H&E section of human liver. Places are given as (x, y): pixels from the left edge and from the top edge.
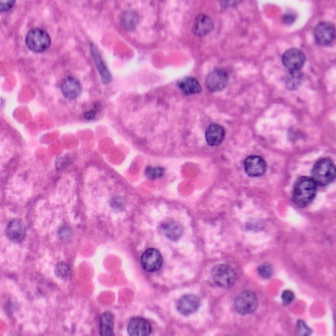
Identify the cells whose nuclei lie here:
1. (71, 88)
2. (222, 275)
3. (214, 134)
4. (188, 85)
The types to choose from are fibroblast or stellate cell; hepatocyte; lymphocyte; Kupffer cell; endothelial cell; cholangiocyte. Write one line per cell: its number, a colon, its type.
1: hepatocyte
2: hepatocyte
3: hepatocyte
4: fibroblast or stellate cell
